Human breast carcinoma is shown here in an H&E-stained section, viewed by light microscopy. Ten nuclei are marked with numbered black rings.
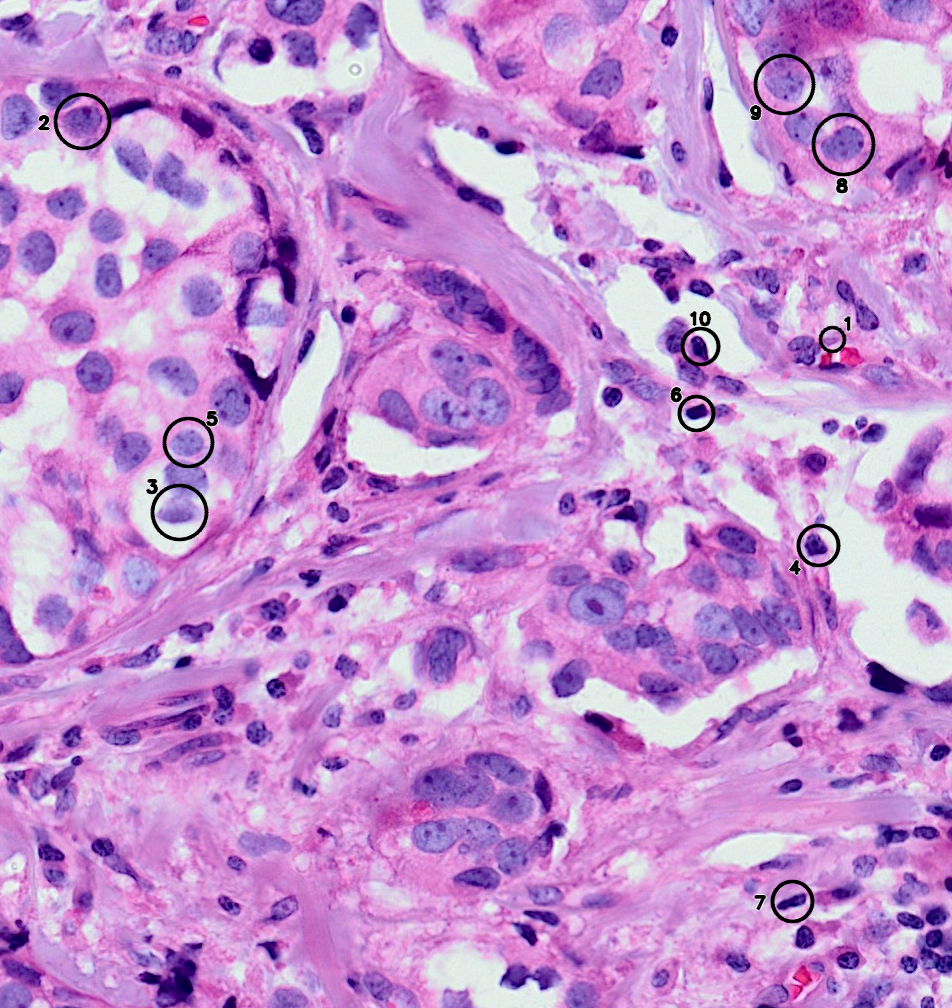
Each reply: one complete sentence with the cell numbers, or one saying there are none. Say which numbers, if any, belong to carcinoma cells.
Cells 2, 3, 5, 8 and 9 share one type; they are carcinoma cells.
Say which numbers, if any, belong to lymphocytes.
The cells marked by the numbers 4, 6, 7 and 10 are lymphocytes.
